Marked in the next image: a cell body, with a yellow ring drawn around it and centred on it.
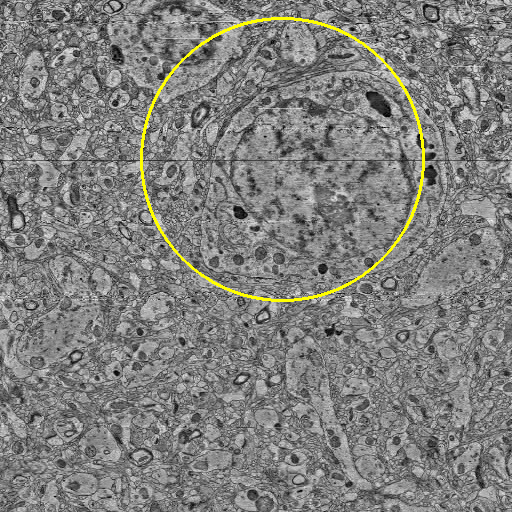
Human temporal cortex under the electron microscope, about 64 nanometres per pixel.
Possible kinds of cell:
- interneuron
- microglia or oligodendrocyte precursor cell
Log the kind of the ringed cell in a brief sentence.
The ringed cell body is that of an interneuron.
